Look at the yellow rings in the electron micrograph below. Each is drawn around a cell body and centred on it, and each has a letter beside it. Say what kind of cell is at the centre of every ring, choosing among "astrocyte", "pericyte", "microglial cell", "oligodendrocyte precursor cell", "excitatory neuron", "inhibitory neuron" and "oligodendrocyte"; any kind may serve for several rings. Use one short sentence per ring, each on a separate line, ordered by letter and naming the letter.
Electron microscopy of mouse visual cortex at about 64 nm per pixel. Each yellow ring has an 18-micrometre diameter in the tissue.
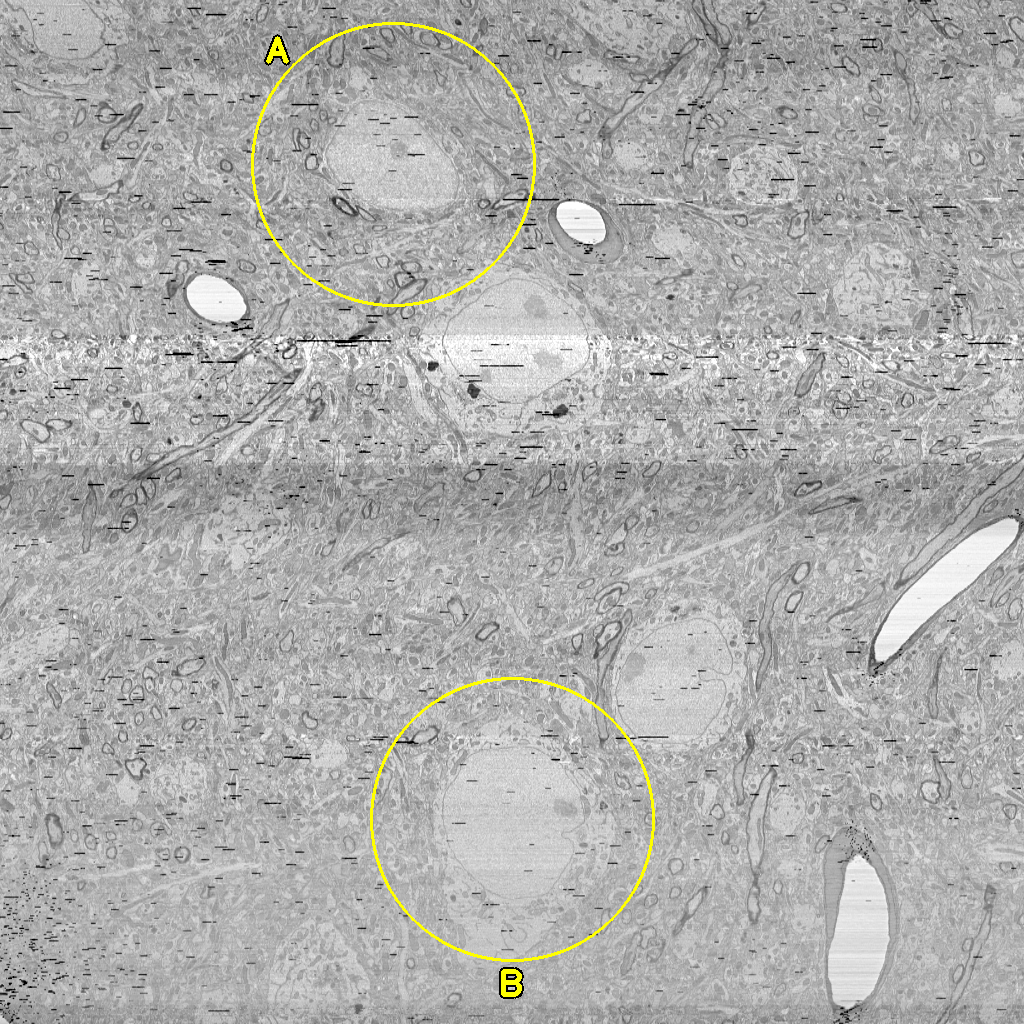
Ring A encircles an astrocyte.
Ring B encircles an excitatory neuron.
